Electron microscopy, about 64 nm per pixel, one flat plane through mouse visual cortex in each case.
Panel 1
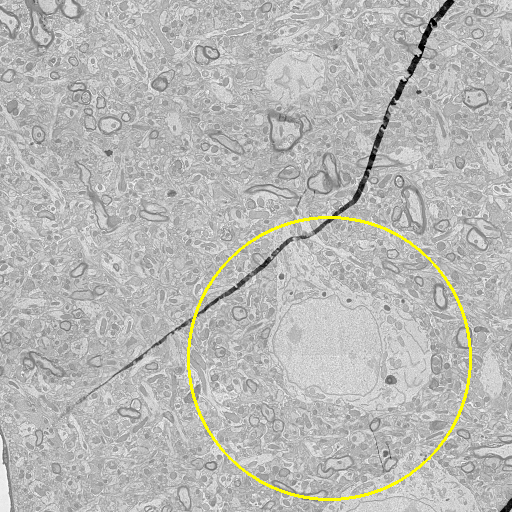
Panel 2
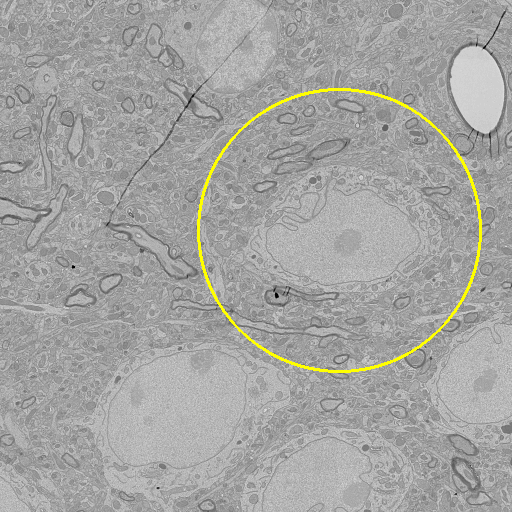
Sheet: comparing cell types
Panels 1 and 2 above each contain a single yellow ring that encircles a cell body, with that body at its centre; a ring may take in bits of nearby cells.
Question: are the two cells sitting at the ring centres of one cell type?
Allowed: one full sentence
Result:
No, the ring-centre cells in Panel 1 and Panel 2 are of two types.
